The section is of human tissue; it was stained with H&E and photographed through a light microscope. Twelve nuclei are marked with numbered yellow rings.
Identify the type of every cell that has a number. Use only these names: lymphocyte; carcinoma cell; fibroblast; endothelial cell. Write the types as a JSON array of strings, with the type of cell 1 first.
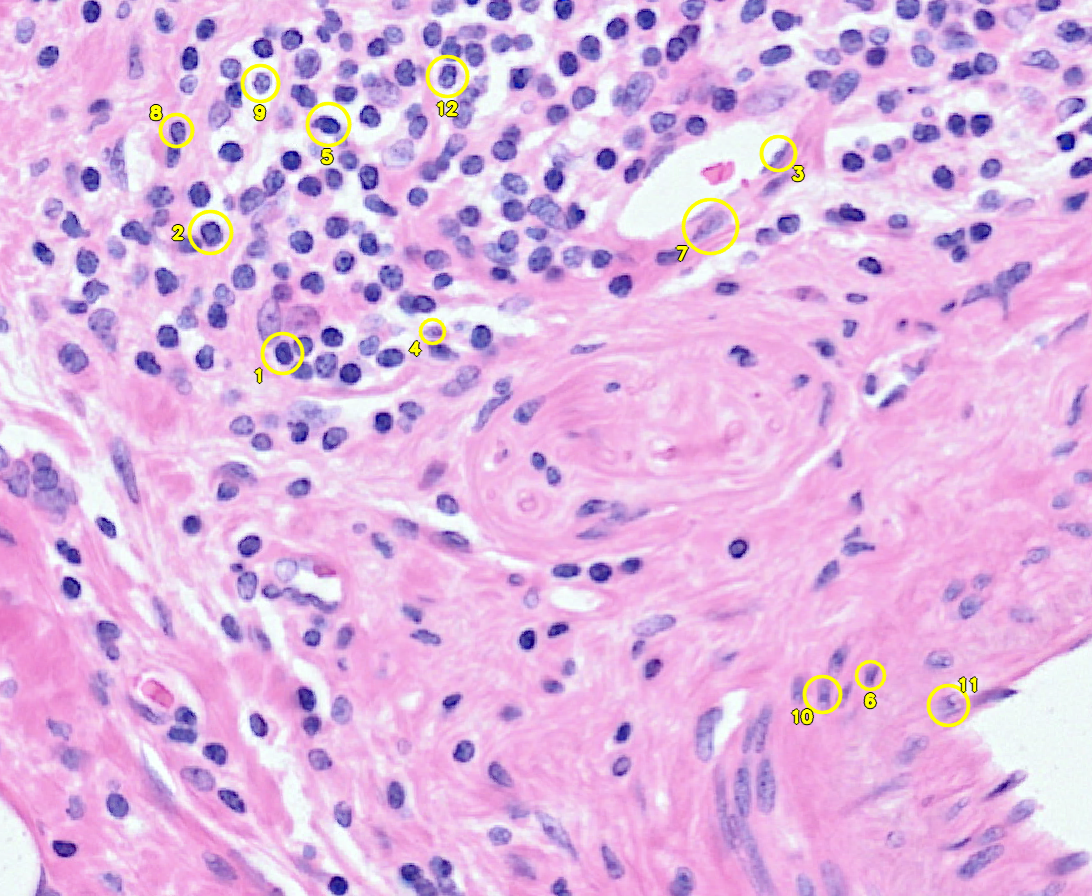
["lymphocyte", "lymphocyte", "endothelial cell", "lymphocyte", "lymphocyte", "endothelial cell", "endothelial cell", "lymphocyte", "lymphocyte", "endothelial cell", "endothelial cell", "lymphocyte"]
